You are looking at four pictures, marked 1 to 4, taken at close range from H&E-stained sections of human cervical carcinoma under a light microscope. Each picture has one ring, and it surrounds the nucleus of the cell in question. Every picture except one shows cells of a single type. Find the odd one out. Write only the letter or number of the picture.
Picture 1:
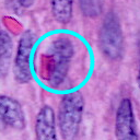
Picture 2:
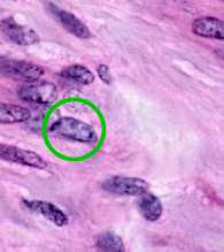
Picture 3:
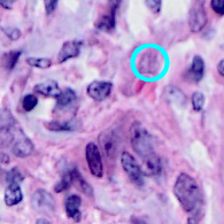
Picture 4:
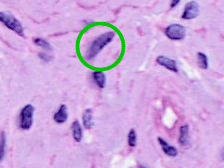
4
